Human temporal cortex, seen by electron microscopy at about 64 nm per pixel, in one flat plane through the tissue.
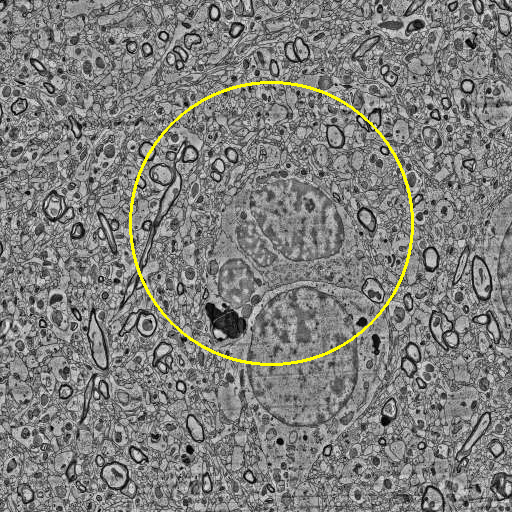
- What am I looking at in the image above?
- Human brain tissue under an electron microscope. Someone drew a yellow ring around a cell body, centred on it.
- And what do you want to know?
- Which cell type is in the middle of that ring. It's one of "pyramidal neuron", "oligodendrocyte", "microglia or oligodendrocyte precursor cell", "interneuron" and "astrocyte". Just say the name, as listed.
oligodendrocyte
